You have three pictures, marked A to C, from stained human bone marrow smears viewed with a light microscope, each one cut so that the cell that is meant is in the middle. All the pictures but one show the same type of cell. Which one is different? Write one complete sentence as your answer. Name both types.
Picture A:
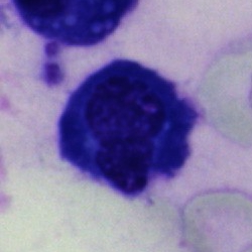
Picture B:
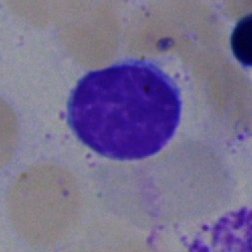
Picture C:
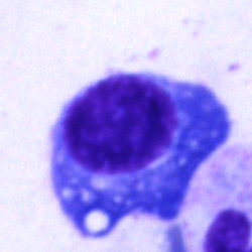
The different one is picture B; it shows a lymphocyte, whereas all the others show plasma cells.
